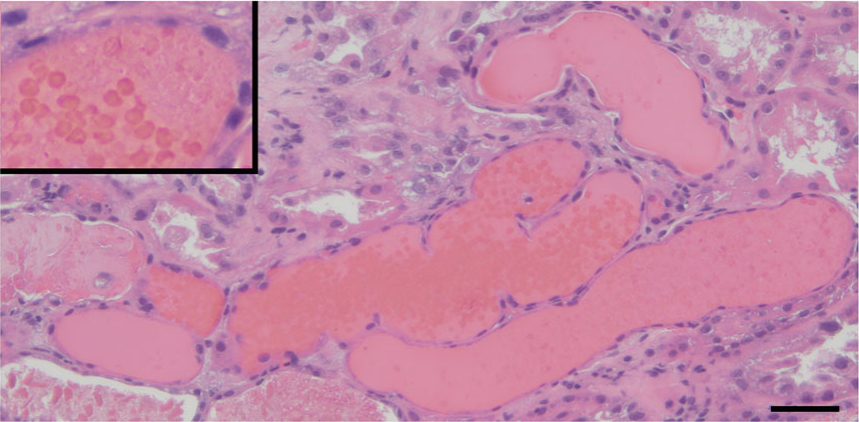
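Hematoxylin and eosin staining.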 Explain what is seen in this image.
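Kidney tissue in which several tubular lumina are filled and distended by casts of red blood cells. The cast material stains pink to red and is homogeneous in some segments, while in others it is made up of small, closely packed round red bodies without nuclei. An enlarged view in the corner shows these bodies as uniform, anucleate pink-red discs. The filled tubules are lined by a thin layer of flattened epithelial cells with dark nuclei.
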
